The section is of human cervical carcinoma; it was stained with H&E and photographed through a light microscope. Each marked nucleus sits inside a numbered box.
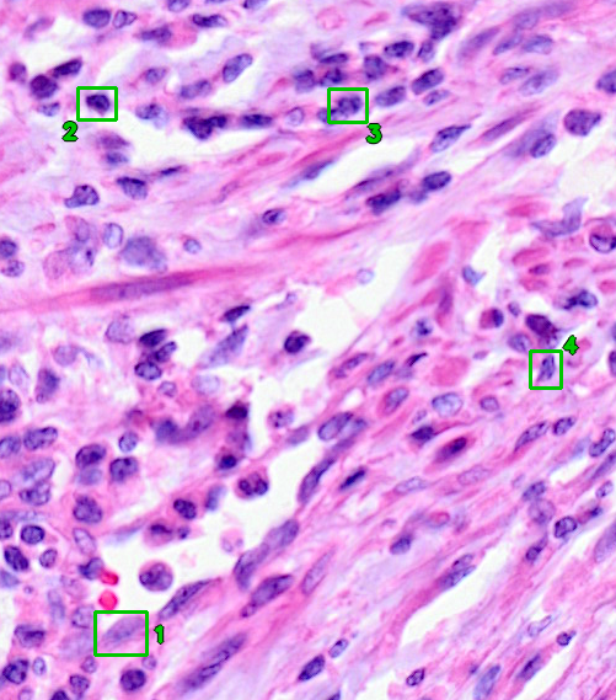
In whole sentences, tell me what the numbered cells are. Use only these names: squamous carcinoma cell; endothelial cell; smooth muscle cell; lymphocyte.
Cell 1 is an endothelial cell, cell 2 is a lymphocyte, cell 3 is a lymphocyte and cell 4 is a lymphocyte.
